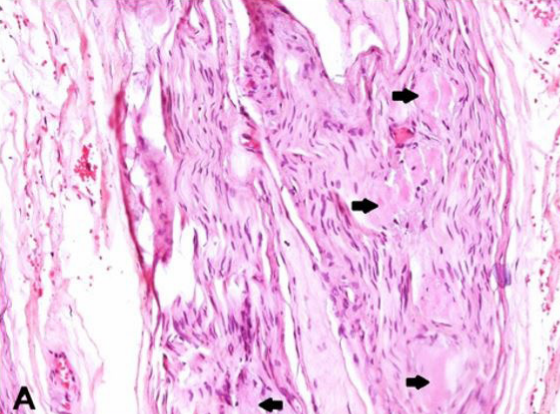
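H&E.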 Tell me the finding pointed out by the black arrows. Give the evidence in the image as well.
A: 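The arrows point to pale pink, amorphous, homogeneous material. The material lies between the wavy fibres and elongated nuclei, not inside cells. That points to this answer: Extracellular eosinophilic deposits.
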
